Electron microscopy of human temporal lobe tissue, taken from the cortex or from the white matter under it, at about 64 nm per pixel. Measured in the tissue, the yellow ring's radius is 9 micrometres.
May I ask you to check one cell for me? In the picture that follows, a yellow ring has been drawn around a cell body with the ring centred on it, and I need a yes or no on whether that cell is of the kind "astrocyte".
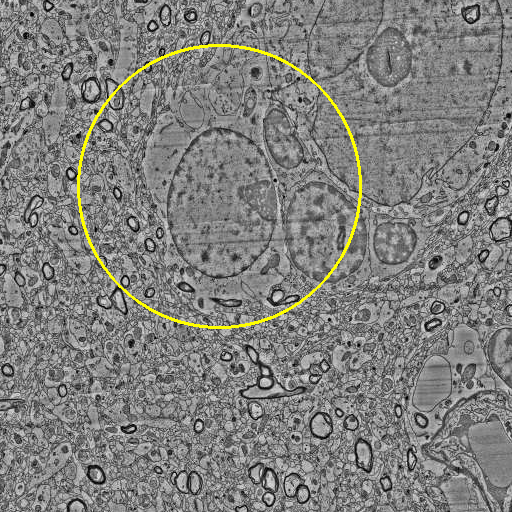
Yes, it is that kind of cell.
